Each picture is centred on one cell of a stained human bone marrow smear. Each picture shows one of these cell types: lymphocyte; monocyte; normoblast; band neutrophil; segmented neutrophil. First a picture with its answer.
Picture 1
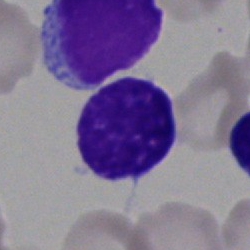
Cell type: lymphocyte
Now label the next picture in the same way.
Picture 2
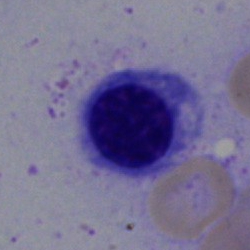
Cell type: normoblast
